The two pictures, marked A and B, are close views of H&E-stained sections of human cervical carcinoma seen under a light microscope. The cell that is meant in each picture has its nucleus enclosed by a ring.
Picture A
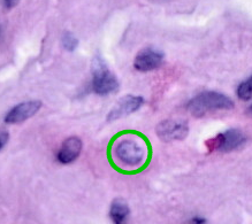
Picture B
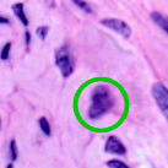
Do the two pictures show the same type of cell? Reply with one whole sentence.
No, they differ: the cell is an endothelial cell in picture A and a fibroblast in picture B.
